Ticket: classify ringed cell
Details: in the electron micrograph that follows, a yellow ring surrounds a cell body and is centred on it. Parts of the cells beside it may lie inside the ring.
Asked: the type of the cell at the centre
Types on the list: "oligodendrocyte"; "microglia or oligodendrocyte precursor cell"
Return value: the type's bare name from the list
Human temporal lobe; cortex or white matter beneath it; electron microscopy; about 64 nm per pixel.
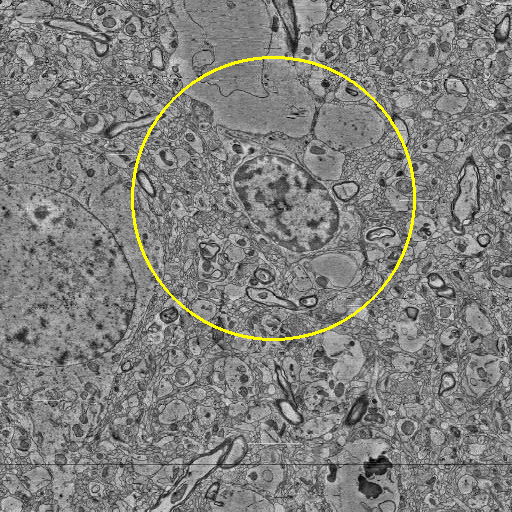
microglia or oligodendrocyte precursor cell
